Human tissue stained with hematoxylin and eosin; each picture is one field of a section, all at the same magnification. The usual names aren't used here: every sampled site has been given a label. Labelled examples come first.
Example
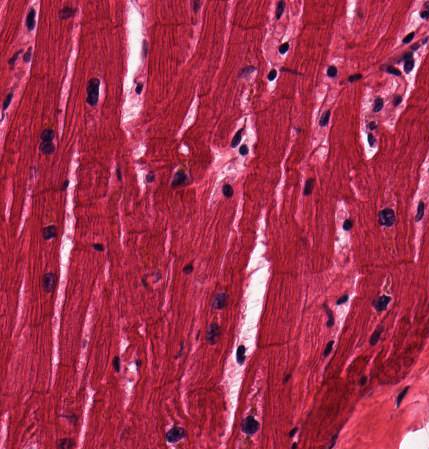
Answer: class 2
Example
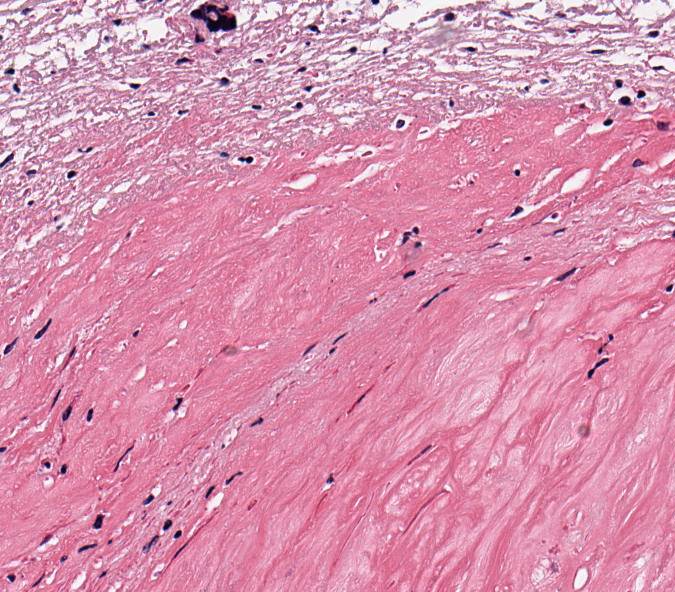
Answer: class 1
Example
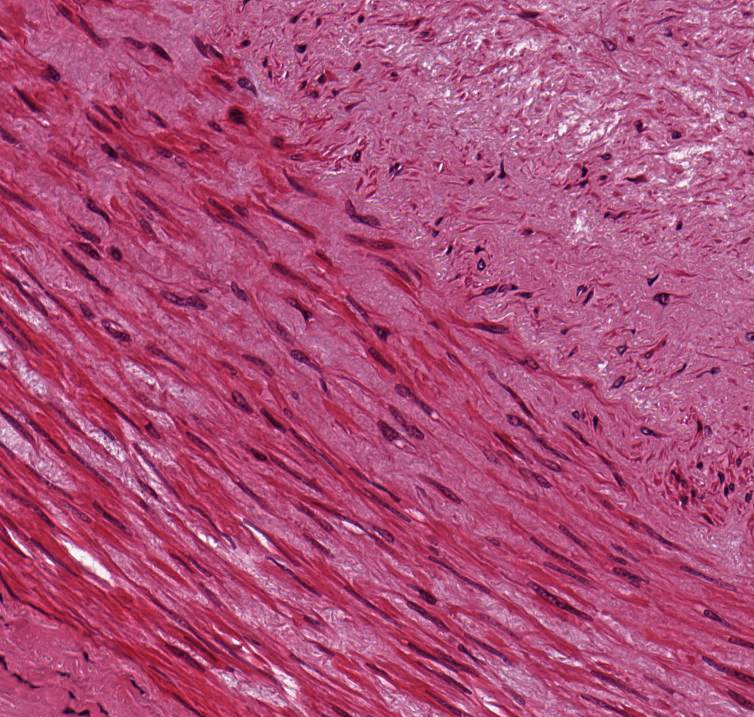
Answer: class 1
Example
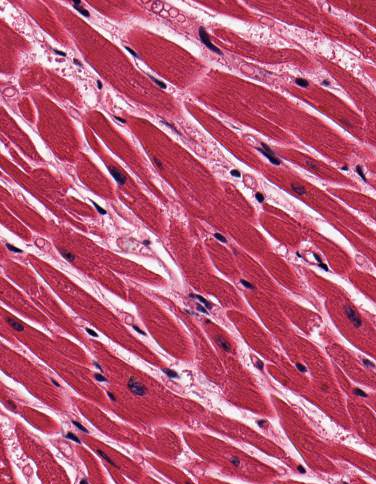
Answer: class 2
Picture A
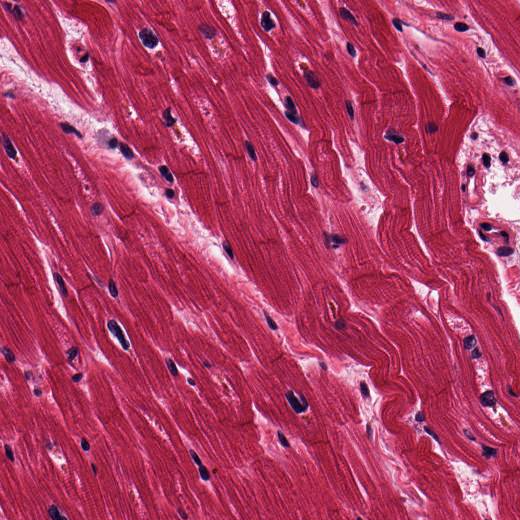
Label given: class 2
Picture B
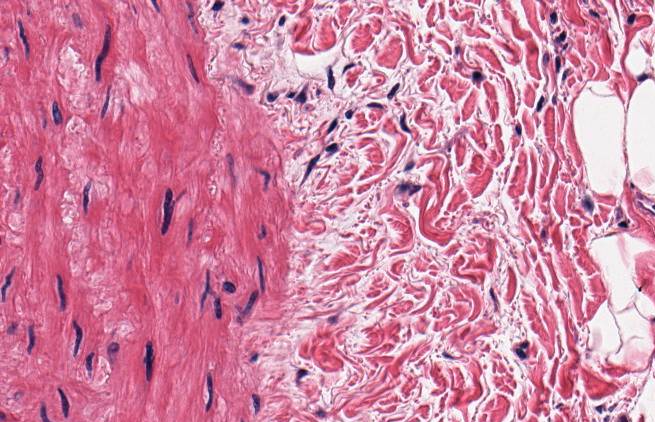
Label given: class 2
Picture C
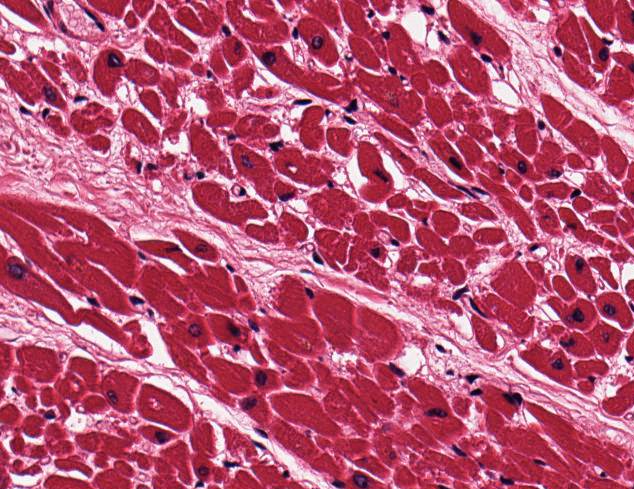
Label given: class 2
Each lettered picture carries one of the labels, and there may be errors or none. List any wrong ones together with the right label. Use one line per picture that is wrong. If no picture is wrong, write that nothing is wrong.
B: not class 2 but class 1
